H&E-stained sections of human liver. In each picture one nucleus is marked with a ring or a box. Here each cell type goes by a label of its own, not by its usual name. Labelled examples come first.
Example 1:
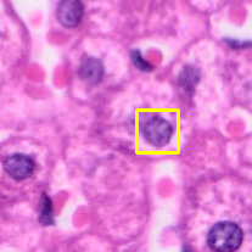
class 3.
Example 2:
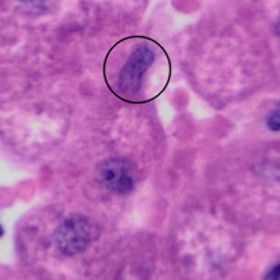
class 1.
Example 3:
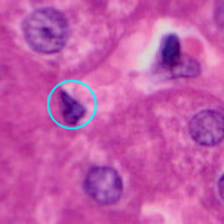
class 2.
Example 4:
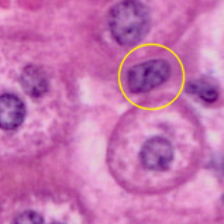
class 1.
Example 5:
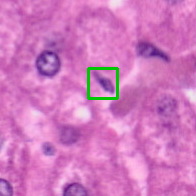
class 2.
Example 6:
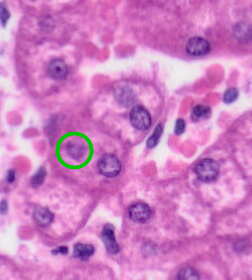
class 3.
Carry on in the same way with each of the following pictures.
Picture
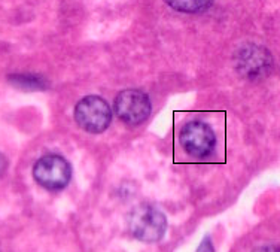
class 3.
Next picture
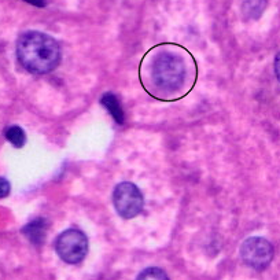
class 3.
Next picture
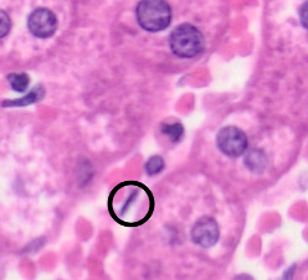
class 2.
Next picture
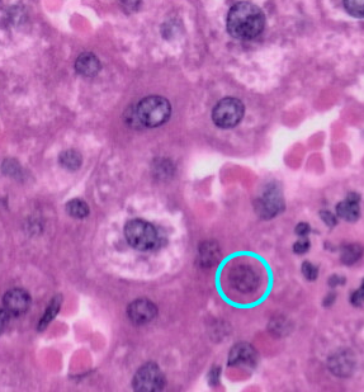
class 3.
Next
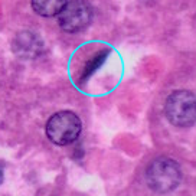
class 2.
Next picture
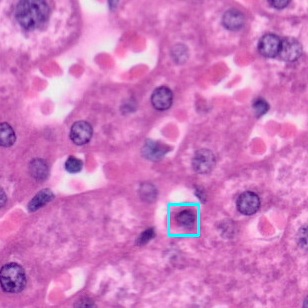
class 1.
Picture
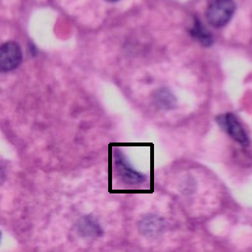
class 2.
